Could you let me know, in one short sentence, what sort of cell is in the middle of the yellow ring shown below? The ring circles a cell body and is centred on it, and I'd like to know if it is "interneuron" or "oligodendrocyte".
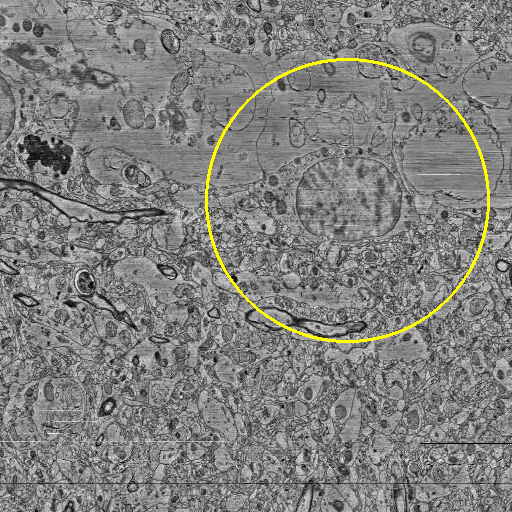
The ring circles the cell body of an oligodendrocyte.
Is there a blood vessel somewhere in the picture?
Yes, one shows.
